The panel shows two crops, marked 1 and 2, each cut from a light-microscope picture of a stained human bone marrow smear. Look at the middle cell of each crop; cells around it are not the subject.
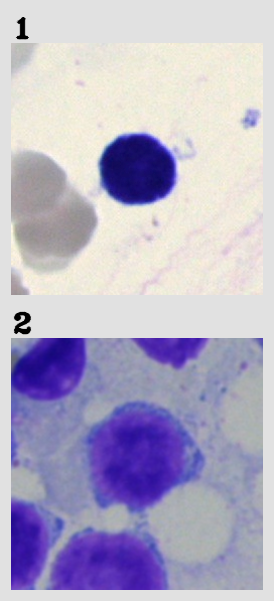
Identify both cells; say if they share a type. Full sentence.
Yes, both crops show lymphocytes, and nothing else needs adding.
